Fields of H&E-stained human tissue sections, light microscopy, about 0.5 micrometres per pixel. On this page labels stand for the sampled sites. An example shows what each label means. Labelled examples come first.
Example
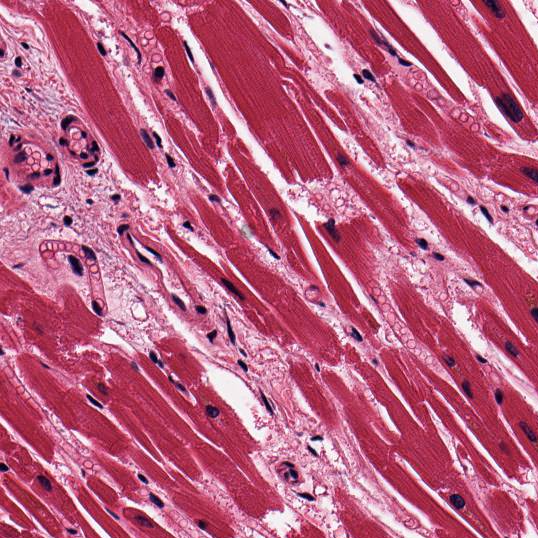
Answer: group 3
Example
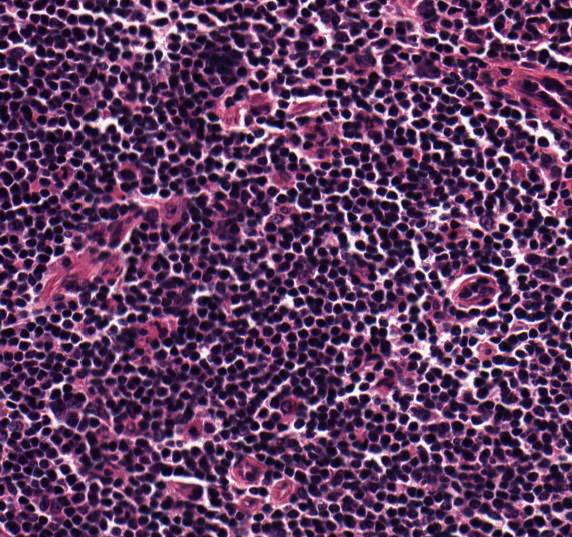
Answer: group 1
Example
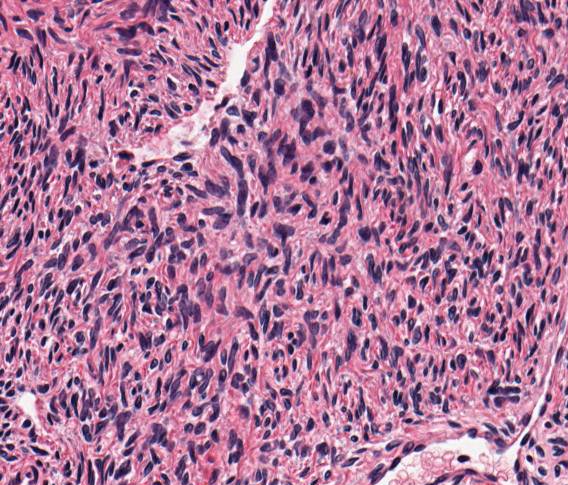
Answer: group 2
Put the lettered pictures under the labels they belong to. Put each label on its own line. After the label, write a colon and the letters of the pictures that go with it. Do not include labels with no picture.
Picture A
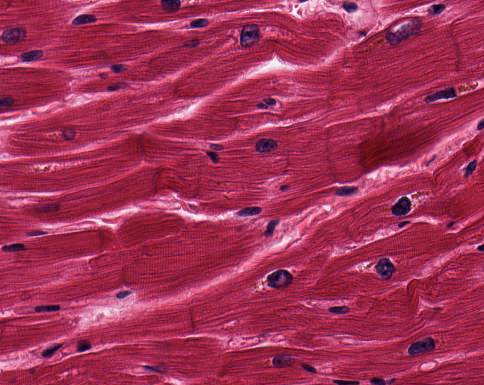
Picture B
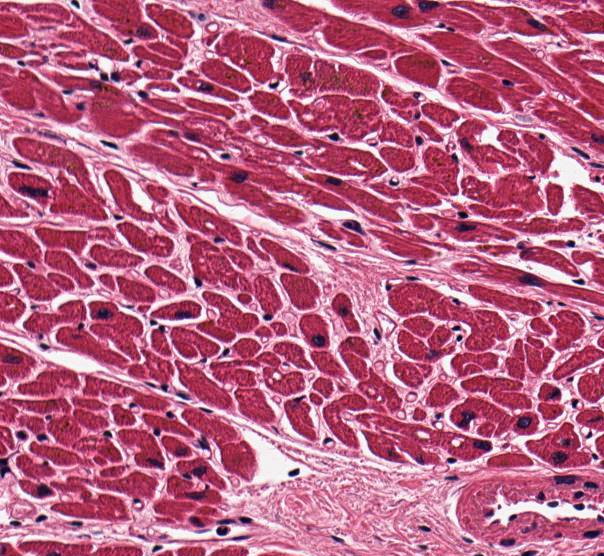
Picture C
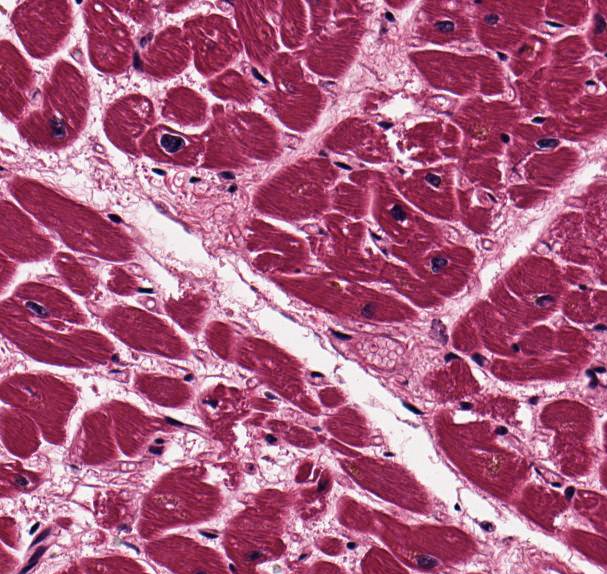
group 3: A, B, C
